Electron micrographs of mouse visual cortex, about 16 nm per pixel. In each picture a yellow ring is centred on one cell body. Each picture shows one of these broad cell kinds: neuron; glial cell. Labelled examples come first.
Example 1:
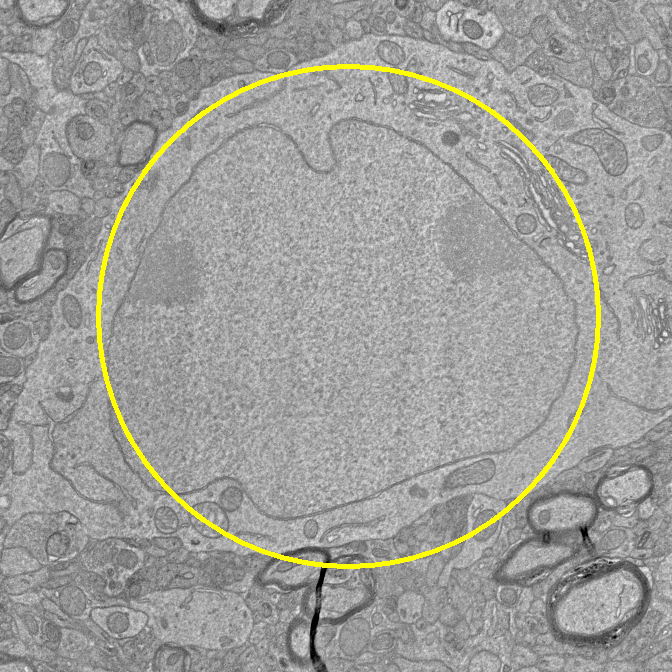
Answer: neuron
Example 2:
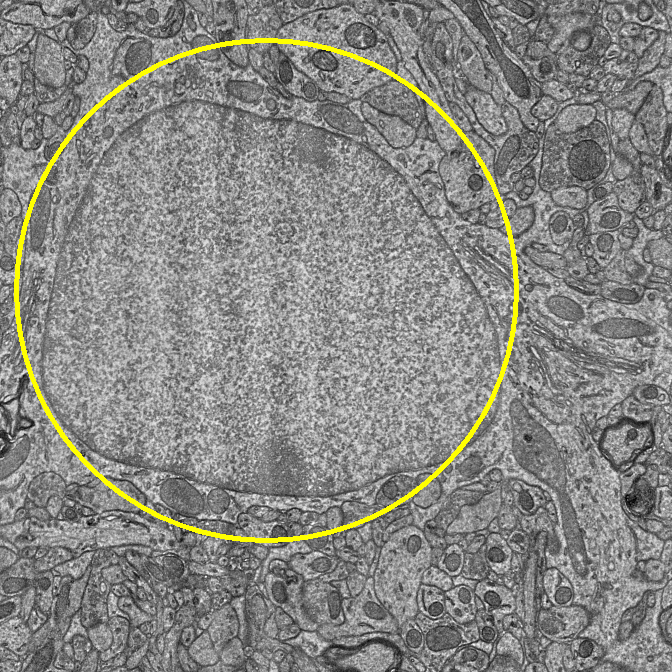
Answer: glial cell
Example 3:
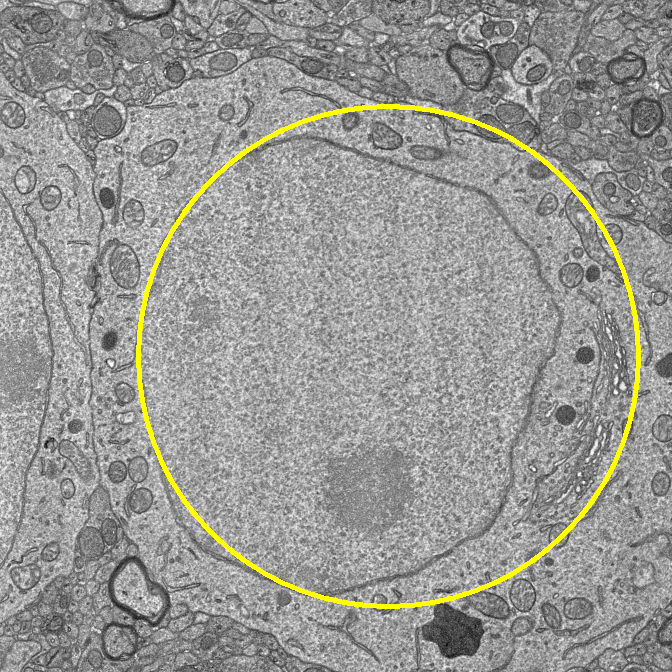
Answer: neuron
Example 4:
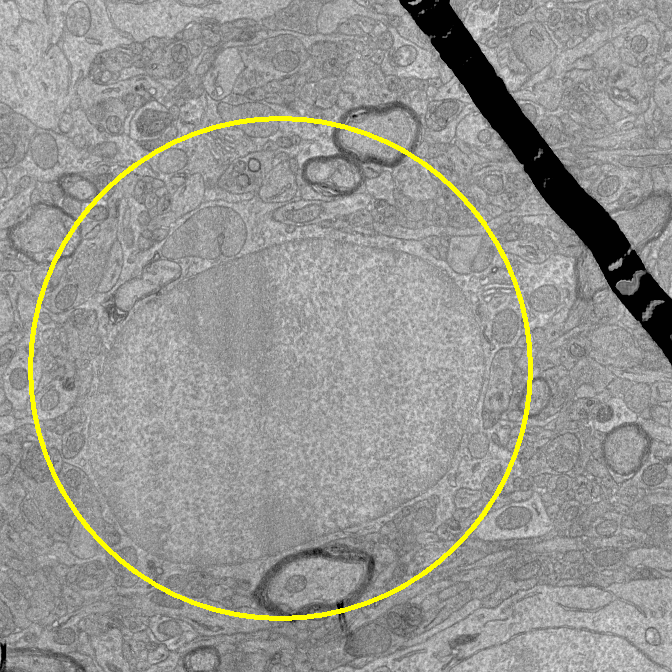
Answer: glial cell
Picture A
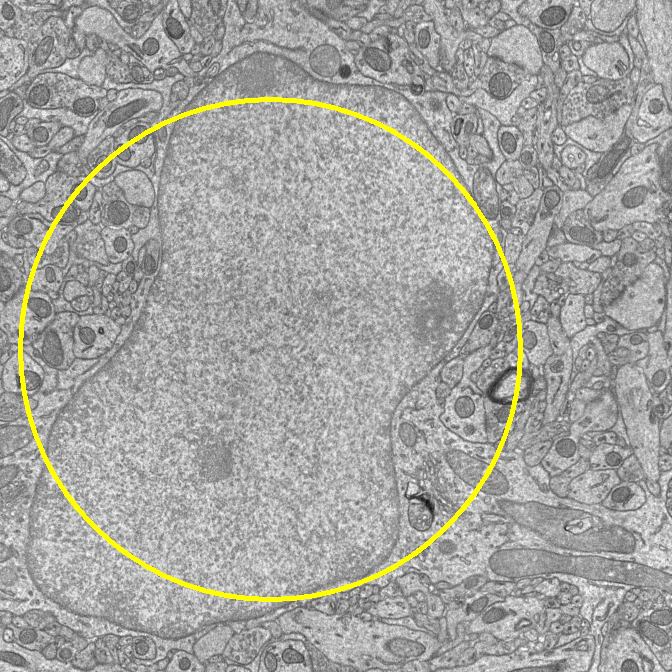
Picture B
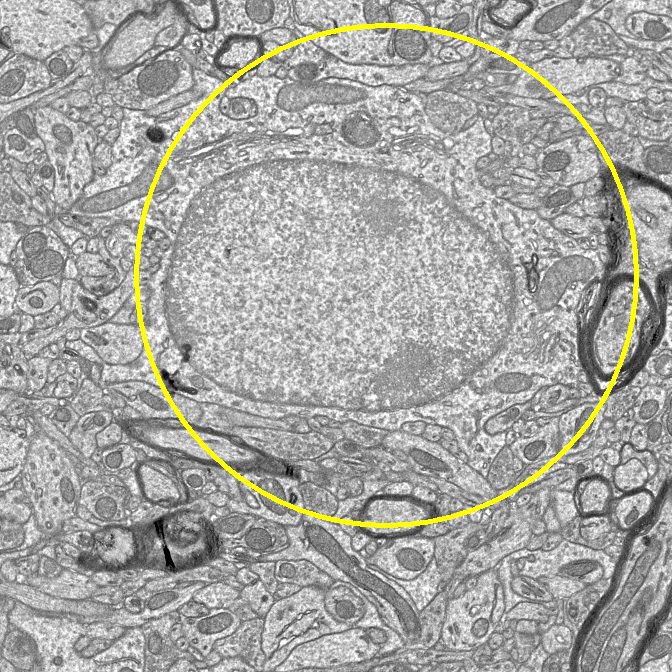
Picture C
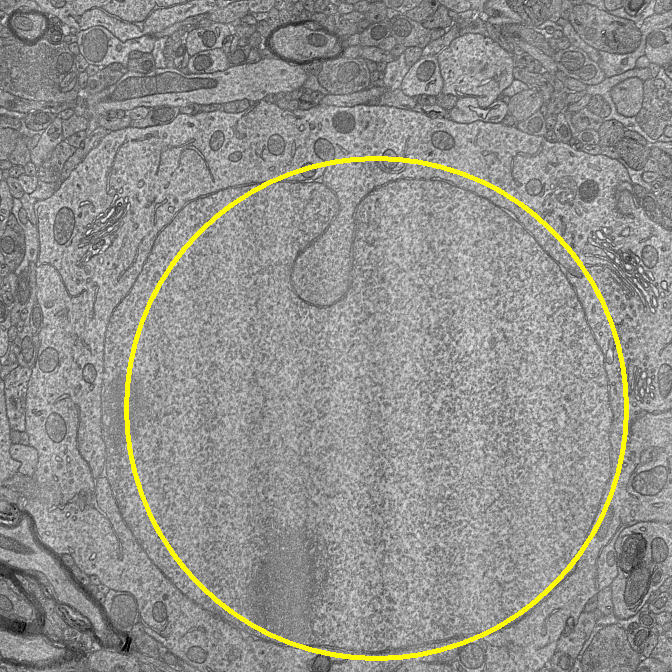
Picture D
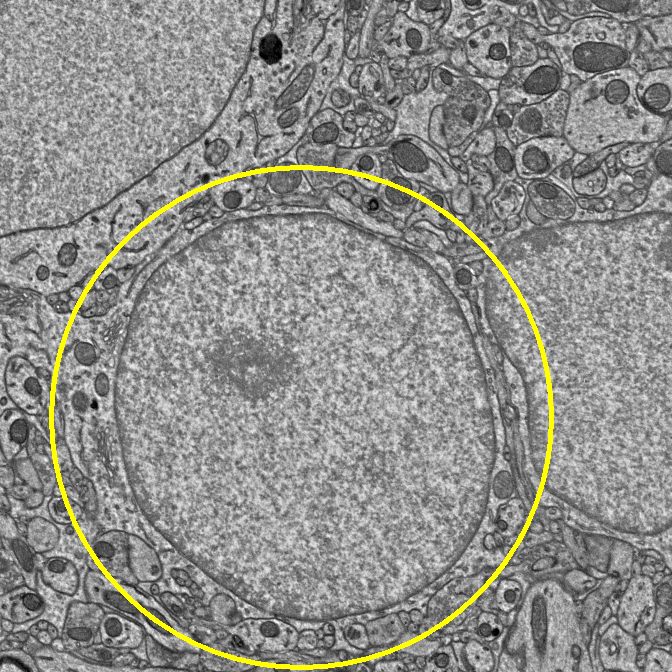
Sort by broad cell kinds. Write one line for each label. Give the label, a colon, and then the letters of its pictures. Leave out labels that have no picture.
neuron: C
glial cell: A, B, D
